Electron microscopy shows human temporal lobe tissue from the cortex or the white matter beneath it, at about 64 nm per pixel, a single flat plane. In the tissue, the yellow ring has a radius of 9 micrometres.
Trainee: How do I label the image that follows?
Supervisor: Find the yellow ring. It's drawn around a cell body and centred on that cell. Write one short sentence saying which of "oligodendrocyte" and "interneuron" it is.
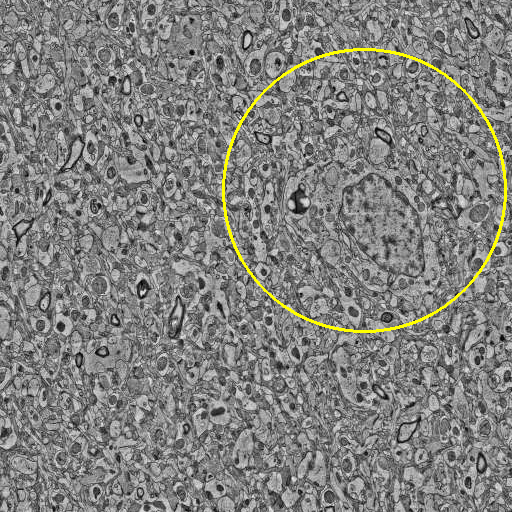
This is the cell body of an interneuron.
